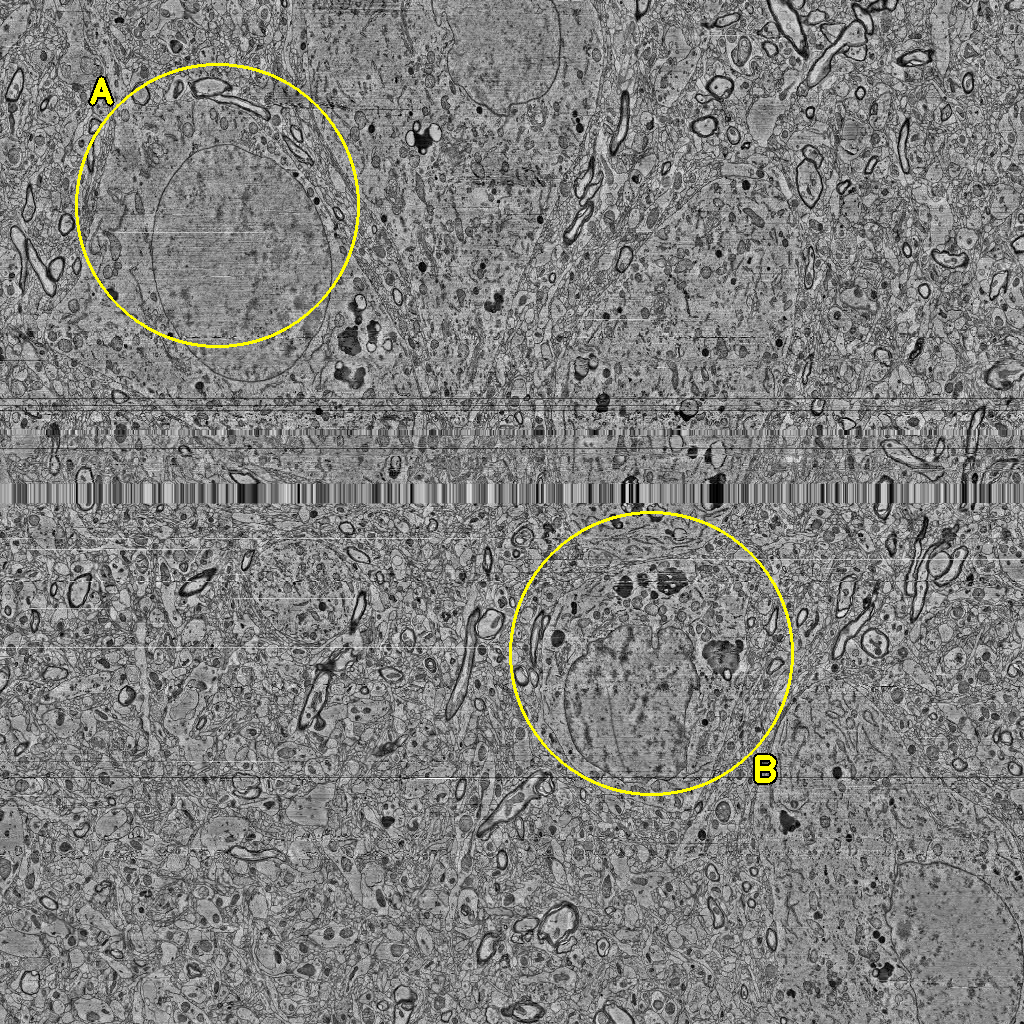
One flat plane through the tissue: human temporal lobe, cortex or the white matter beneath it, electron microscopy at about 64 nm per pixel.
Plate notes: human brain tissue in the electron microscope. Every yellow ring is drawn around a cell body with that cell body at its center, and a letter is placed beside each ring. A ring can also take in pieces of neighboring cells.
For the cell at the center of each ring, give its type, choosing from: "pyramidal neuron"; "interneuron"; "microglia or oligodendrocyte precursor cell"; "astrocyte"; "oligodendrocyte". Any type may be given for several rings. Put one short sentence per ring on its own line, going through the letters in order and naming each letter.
Ring A shows a pyramidal neuron at the center.
Ring B shows an interneuron at the center.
